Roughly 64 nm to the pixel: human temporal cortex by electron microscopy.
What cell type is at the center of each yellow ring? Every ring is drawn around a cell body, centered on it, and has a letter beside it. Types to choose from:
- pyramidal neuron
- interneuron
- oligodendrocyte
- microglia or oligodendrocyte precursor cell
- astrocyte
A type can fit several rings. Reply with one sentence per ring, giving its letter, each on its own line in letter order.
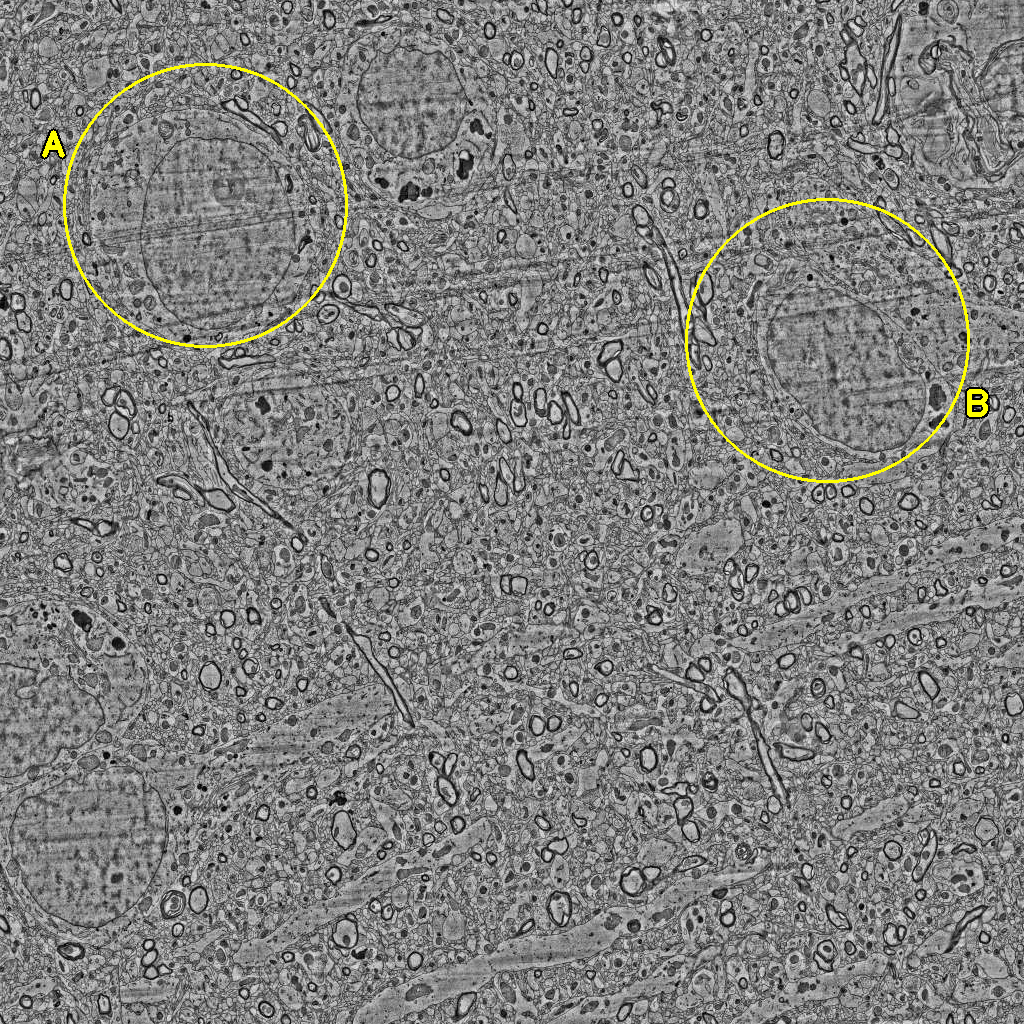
Ring A is placed around a pyramidal neuron.
Ring B is placed around an interneuron.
